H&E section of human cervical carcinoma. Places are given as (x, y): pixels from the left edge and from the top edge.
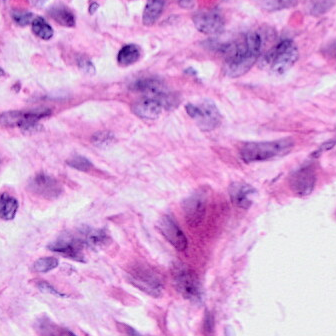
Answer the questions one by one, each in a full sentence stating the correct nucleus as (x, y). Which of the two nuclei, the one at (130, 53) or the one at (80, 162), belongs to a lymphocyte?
The nucleus whose cell is a lymphocyte is the one at (130, 53).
